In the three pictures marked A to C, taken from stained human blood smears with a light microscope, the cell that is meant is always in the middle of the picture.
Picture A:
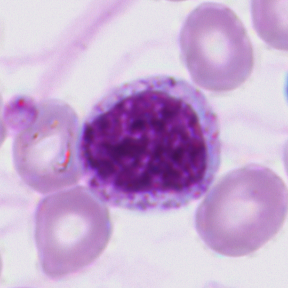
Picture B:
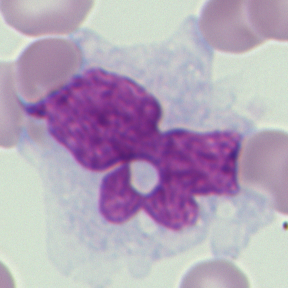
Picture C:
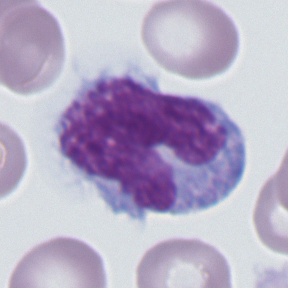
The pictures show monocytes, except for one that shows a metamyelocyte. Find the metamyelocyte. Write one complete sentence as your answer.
It is picture A that shows the metamyelocyte.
